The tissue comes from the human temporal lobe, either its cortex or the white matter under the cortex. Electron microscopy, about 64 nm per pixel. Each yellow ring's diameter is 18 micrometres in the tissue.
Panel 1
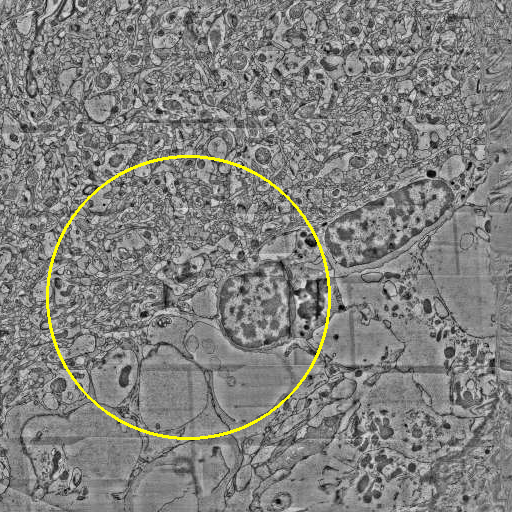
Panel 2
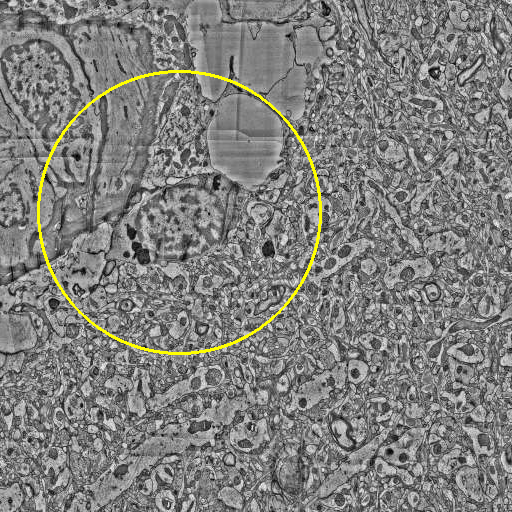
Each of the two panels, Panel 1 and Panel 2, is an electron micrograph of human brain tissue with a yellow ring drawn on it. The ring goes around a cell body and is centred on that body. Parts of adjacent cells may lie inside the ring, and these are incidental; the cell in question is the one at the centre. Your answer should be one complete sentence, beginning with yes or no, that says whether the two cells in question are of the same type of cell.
Yes, the two cells are of the same type.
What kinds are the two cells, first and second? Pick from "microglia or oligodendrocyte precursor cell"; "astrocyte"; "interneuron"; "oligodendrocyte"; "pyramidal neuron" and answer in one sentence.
Each of the two cells is an oligodendrocyte.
